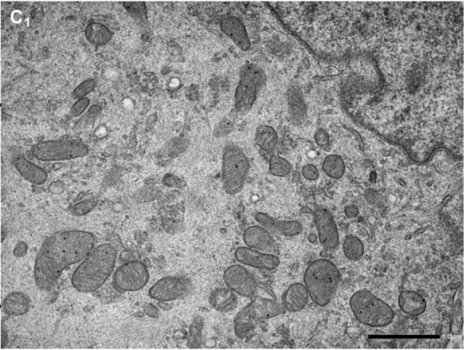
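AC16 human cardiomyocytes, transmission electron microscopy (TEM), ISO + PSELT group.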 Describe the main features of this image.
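The mitochondria are round to elongated oval profiles with a dark matrix and clearly visible inner membrane folds, the cristae. They lie scattered densely through a finely granular cytoplasm with a few small clear vesicles. The edge of the nucleus with its envelope runs along the upper right corner.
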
